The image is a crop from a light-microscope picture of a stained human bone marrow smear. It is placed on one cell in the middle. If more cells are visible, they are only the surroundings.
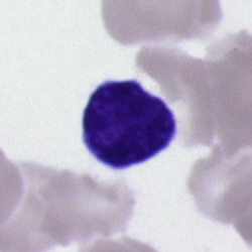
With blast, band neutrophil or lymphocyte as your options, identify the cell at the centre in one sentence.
The cell in the middle of the field of view is a lymphocyte.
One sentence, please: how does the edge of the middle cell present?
Smooth all around, the outline has no projections to report.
